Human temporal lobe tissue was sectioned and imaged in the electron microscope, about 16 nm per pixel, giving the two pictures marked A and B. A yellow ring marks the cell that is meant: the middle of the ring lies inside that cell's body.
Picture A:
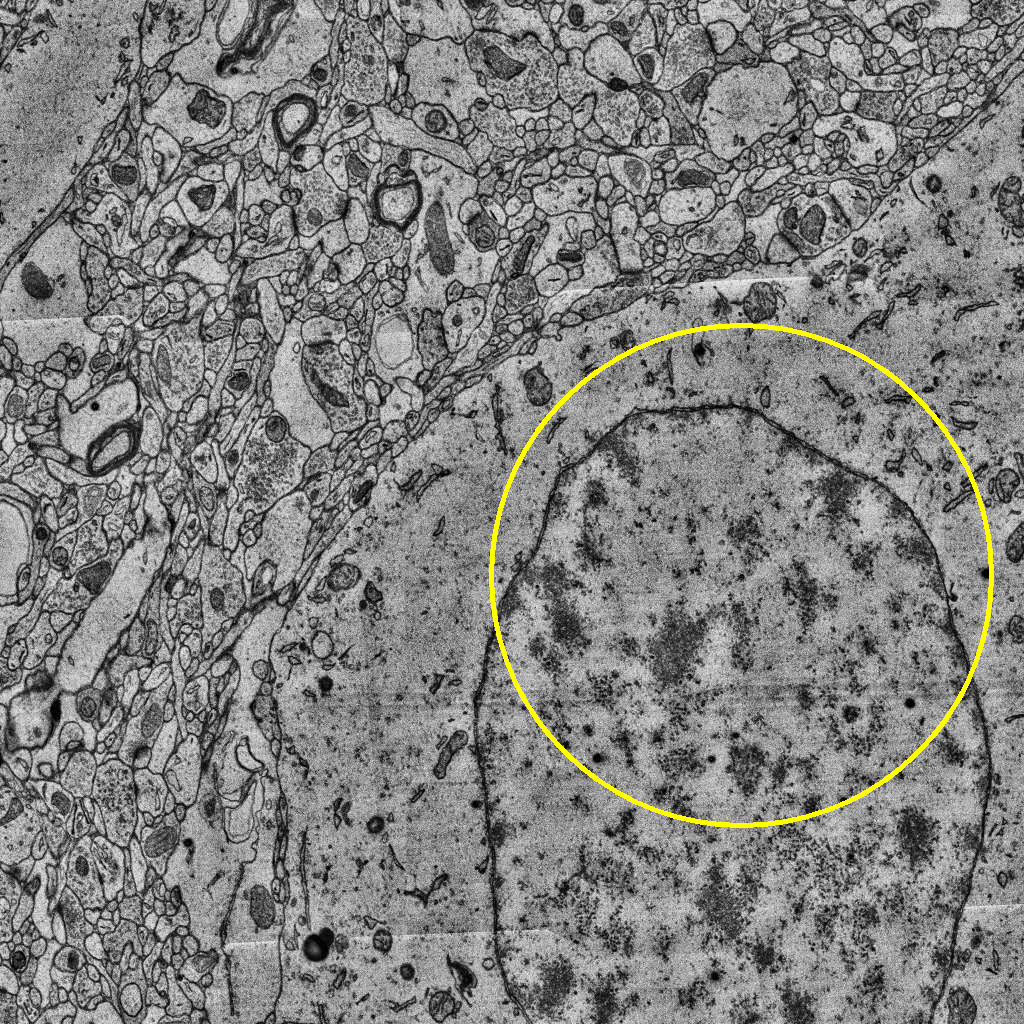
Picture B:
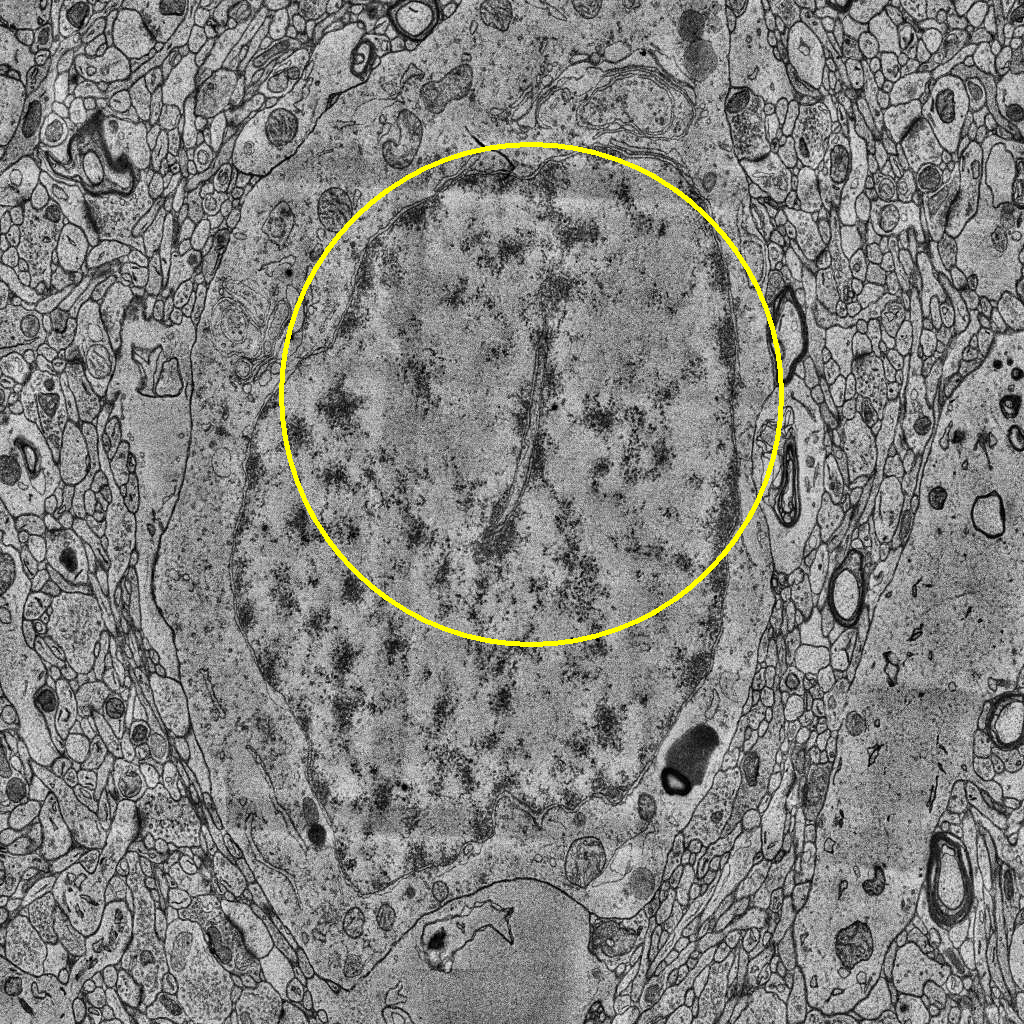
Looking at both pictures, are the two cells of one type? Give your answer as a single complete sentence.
No, picture A shows a pyramidal neuron and picture B shows an interneuron.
